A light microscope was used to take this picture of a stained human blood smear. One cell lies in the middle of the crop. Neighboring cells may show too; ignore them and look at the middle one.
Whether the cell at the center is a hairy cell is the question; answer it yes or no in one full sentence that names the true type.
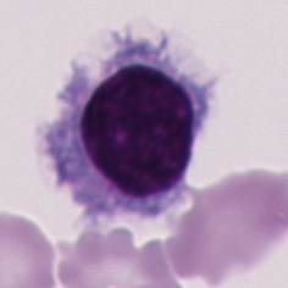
Yes, the cell that occupies the centre is a hairy cell.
